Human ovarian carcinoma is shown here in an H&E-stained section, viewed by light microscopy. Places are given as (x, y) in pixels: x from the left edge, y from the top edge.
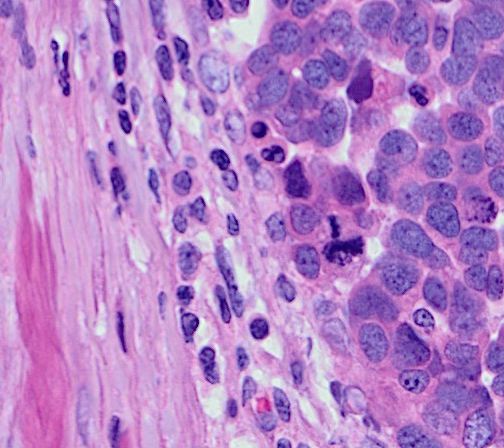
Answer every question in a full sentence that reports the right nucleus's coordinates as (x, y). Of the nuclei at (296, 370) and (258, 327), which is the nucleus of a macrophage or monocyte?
Answering which nucleus it is: the one at (296, 370), belonging to a macrophage or monocyte.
